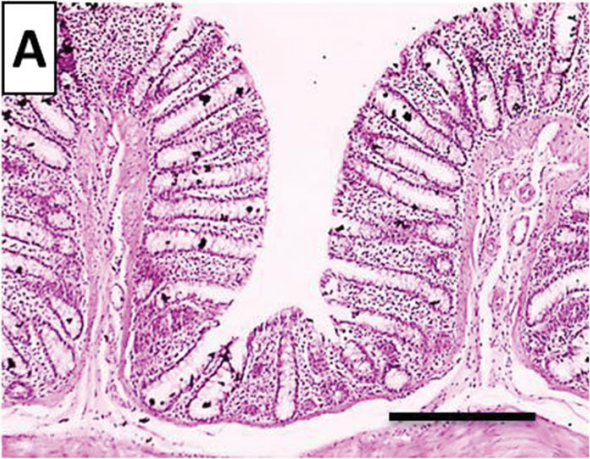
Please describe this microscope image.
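This is normal colonic mucosa, folded into two tall ridges with a narrow cleft between them. Long, straight, tubular crypts run side by side from the surface down to the base, lined by columnar epithelium with many pale goblet cells. Between the crypts the lamina propria holds numerous small dark nuclei, and a thin pale core of connective tissue runs up the middle of each fold.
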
